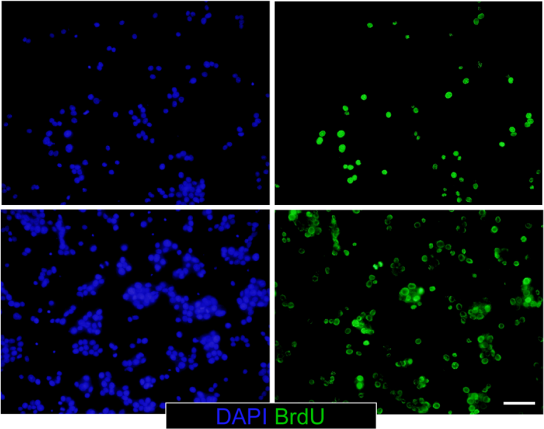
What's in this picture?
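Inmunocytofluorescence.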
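Cultured cells are shown in four fluorescence fields, with blue-stained nuclei in the left images and the same kind of field in green on the right. The nuclei are small and round, lying singly or gathered in tight clusters, and the clusters are larger and more crowded in the lower row. Only a part of the cells carry the green label, seen as bright round profiles scattered among the unlabelled ones.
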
